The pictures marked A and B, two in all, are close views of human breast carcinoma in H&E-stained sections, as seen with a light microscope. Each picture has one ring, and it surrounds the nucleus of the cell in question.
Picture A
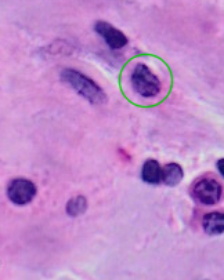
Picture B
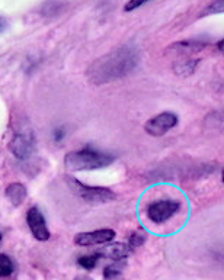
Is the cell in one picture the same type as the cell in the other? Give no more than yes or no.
yes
